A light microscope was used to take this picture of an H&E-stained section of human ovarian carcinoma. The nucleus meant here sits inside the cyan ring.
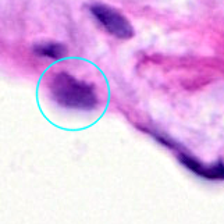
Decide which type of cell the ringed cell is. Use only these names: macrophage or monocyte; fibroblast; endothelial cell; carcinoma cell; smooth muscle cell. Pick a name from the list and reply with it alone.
endothelial cell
